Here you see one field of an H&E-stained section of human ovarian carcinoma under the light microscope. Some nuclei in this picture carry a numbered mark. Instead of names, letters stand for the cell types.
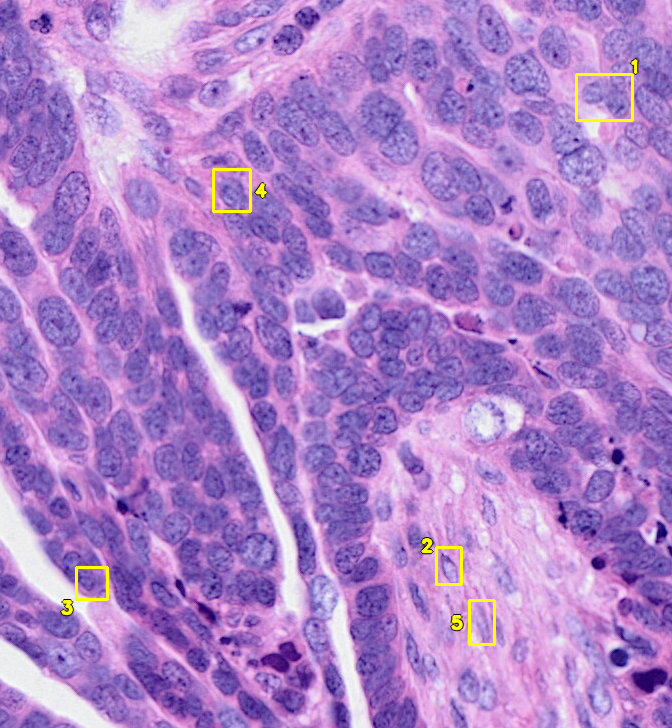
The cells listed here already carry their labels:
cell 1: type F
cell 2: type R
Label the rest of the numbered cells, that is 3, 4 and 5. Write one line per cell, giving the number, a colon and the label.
3: type F
4: type F
5: type R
